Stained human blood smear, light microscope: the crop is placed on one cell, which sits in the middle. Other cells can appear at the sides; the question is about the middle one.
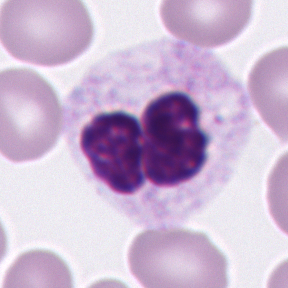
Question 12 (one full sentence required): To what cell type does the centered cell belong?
The cell at the middle of the crop is recognized as a segmented neutrophil.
